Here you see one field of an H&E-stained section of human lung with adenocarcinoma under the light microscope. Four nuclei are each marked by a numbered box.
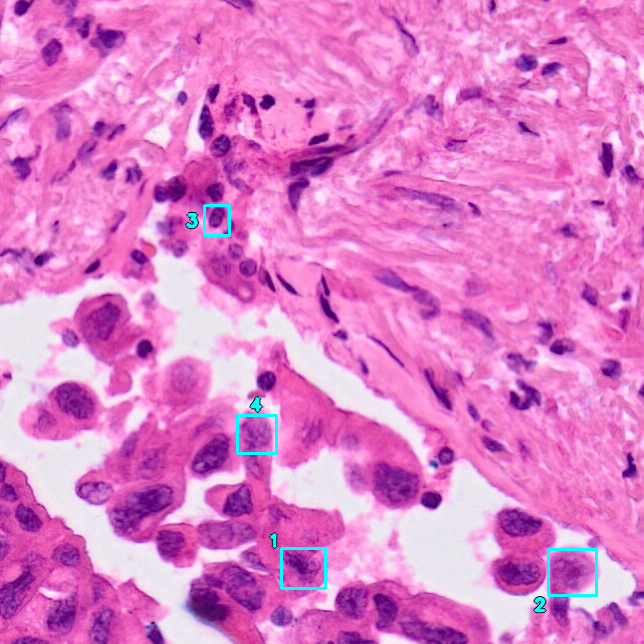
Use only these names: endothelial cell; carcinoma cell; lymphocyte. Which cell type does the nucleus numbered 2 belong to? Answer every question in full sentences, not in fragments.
Number 2 among the marked cells is a carcinoma cell.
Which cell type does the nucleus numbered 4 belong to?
It is as a carcinoma cell that the cell numbered 4 is identified.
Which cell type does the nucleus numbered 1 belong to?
The cell numbered 1 has been identified as a carcinoma cell.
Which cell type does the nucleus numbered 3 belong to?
As for number 3, that cell is a lymphocyte.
